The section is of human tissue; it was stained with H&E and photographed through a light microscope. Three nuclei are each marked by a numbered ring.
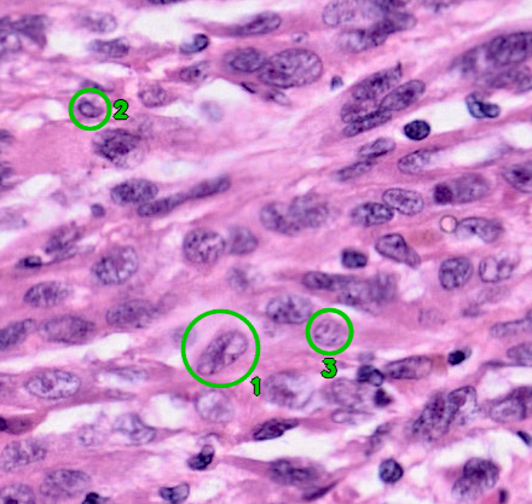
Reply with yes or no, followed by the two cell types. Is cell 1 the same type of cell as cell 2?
No, just to clarify, cell 1 is a melanoma cell and cell 2 is a macrophage or monocyte.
